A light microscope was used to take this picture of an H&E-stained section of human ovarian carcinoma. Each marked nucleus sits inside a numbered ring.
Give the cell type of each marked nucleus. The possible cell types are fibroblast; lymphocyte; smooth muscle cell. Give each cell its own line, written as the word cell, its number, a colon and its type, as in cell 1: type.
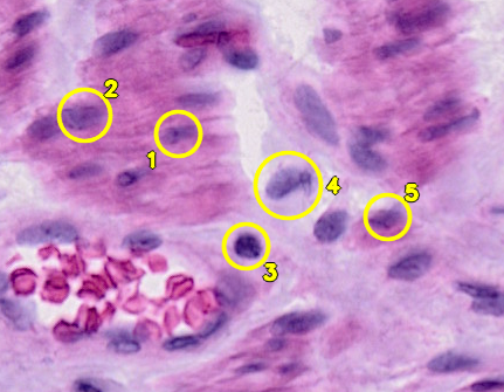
cell 1: smooth muscle cell
cell 2: smooth muscle cell
cell 3: lymphocyte
cell 4: fibroblast
cell 5: smooth muscle cell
